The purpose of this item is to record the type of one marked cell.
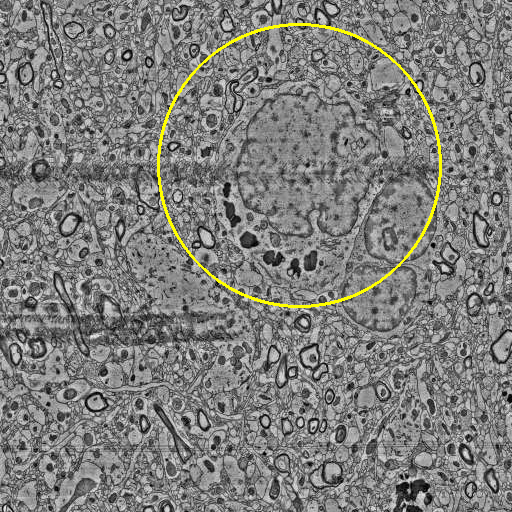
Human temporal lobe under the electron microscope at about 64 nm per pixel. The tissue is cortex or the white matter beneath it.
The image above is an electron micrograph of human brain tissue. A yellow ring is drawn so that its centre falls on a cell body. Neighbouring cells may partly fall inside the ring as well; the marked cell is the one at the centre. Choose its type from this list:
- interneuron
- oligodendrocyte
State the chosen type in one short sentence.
What the ring marks here is an interneuron.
